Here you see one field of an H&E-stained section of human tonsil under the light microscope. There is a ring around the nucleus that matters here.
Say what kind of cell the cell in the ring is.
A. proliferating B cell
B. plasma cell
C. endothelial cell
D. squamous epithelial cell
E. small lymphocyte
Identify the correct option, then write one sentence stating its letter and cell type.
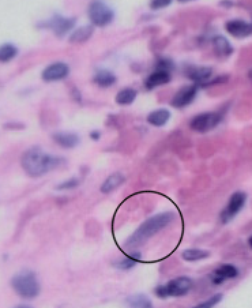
Hey, it is option C: the cell in the ring is an endothelial cell.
